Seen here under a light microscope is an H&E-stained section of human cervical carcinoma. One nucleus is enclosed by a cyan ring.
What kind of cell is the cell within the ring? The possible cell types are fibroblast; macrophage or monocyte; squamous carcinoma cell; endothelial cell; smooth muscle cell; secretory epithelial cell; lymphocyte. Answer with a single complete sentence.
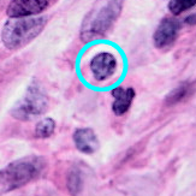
In the context of this tissue, the cell within the ring is a lymphocyte.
